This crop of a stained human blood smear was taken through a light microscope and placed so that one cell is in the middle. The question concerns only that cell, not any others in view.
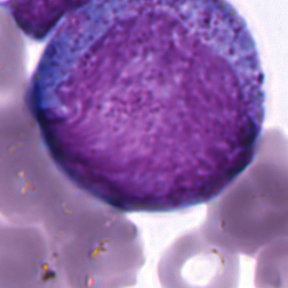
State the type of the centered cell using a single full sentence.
The cell that lies at the centre of the crop is a promyelocyte.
